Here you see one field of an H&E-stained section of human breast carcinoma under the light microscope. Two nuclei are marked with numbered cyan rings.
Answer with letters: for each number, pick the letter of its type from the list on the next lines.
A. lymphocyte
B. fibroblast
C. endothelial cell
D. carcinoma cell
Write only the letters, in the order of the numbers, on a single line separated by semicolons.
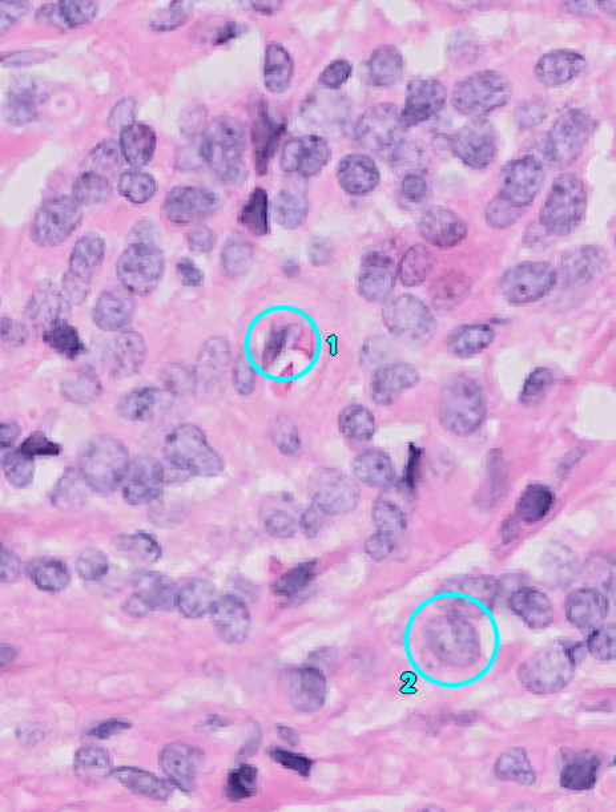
C; D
